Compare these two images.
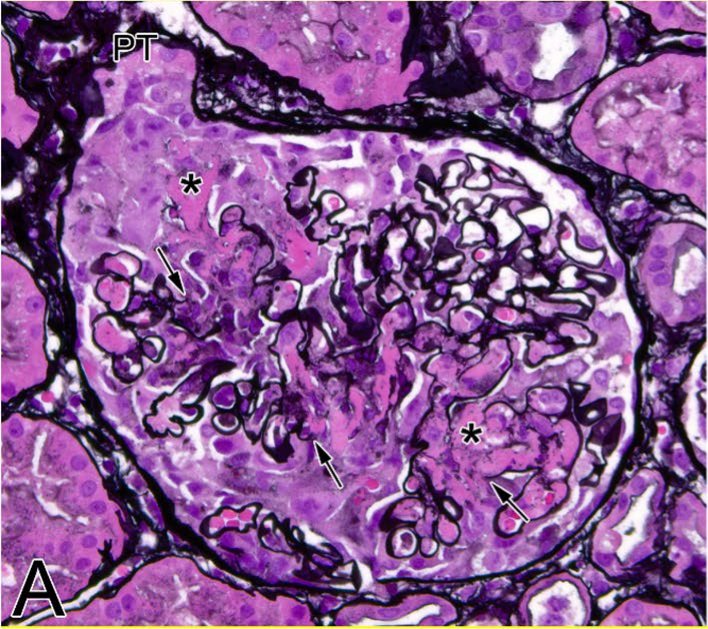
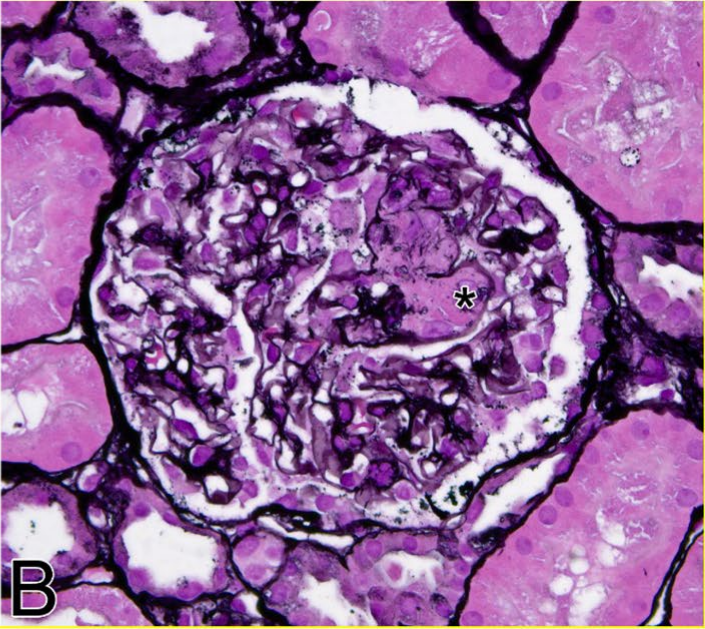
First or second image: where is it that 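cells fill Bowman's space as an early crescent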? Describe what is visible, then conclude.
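Second image: a clear white rim of Bowman's space surrounds the tuft. First image: layered cells fill Bowman's space at the upper left, next to a tubule.
Answer: the first image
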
